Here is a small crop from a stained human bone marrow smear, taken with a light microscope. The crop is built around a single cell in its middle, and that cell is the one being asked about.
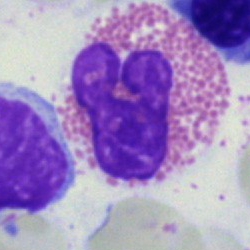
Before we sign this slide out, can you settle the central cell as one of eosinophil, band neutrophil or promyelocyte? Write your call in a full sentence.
The cell shown in the center of this light-microscope crop is an eosinophil.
